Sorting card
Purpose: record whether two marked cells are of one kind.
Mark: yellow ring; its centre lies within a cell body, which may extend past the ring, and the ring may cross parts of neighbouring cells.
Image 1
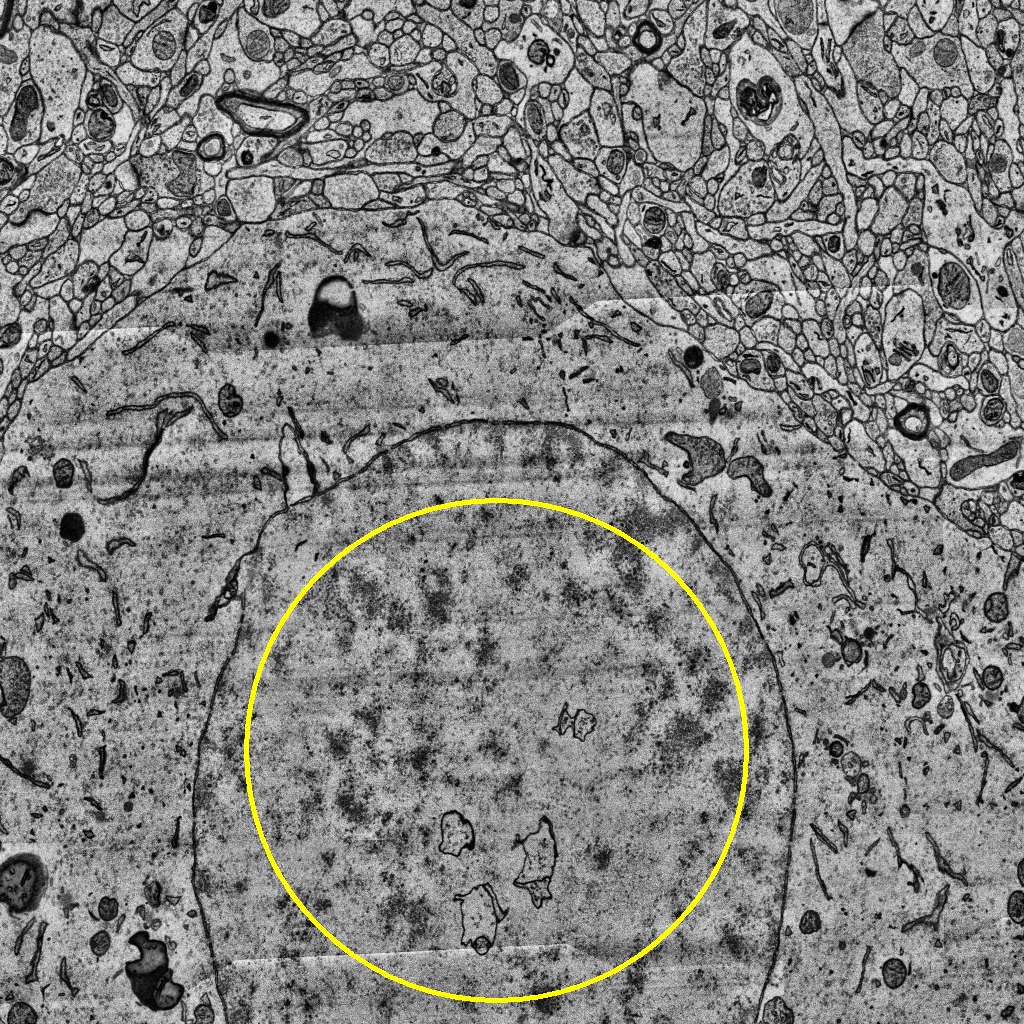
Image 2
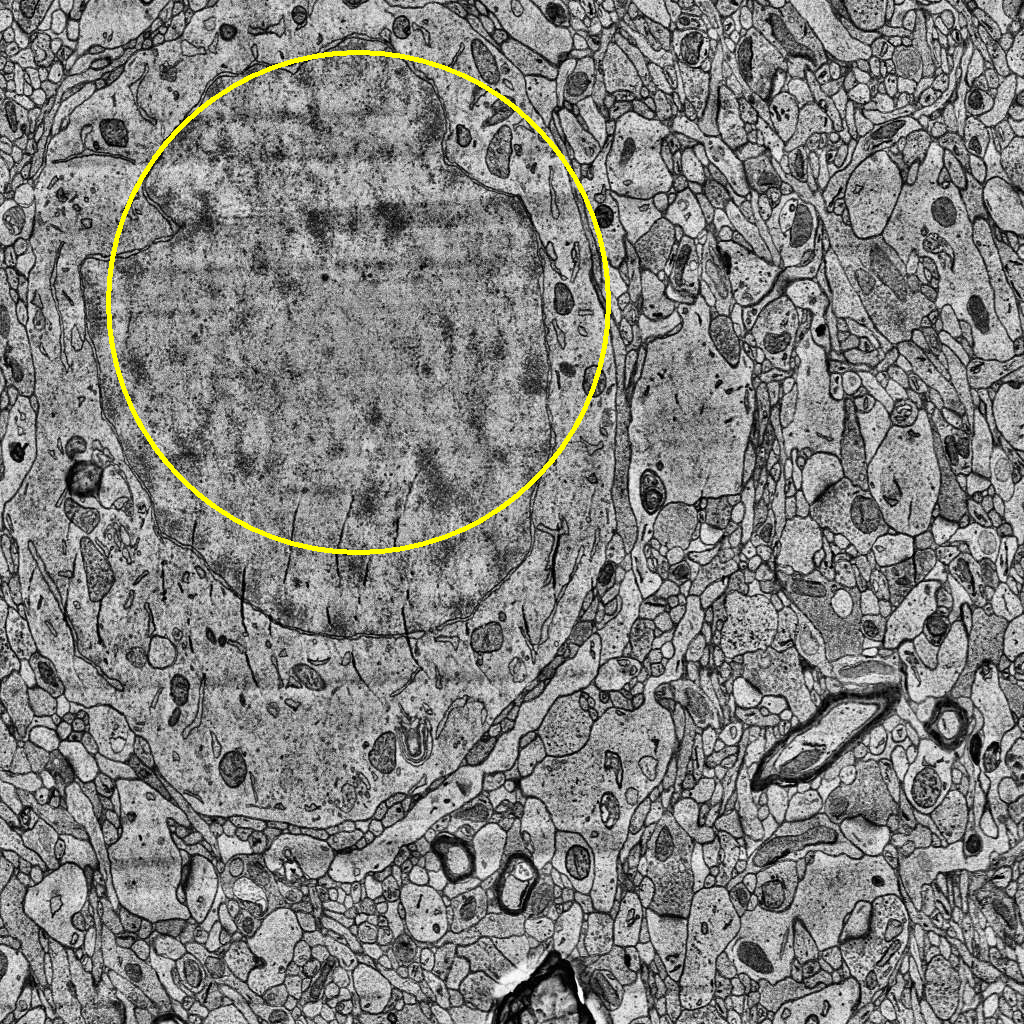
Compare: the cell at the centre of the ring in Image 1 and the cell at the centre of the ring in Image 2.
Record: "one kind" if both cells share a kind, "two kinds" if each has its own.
two kinds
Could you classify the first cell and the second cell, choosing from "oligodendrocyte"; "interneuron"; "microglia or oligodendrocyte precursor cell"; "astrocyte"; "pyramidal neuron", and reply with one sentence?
The cell in the first picture is a pyramidal neuron; the second picture's cell is an interneuron.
